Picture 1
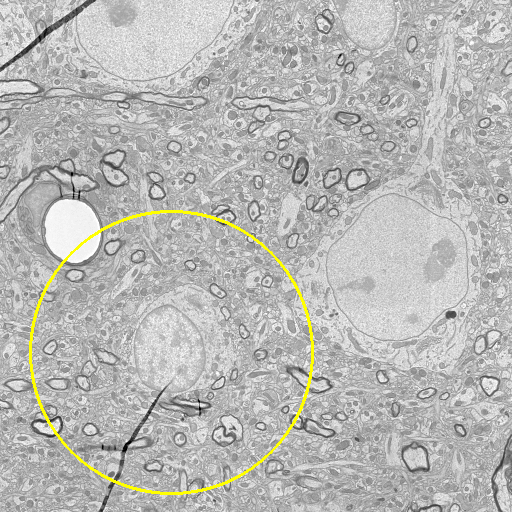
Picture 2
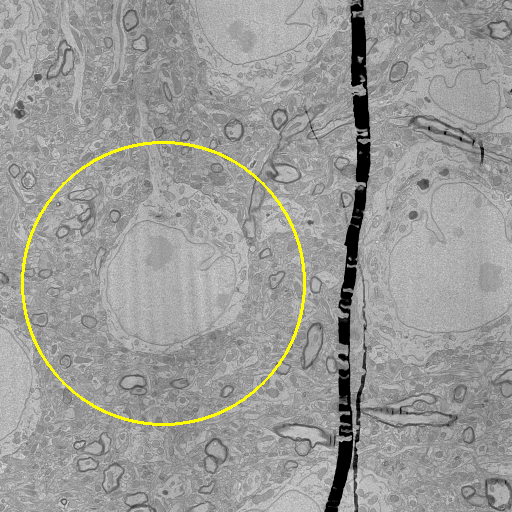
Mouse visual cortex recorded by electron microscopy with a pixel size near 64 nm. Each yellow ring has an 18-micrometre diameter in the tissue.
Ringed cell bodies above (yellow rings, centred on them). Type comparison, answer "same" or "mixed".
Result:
mixed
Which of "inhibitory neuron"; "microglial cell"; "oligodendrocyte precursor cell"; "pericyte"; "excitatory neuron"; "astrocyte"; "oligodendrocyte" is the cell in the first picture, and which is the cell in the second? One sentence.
The two differ: the first cell is an oligodendrocyte and the second is an excitatory neuron.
